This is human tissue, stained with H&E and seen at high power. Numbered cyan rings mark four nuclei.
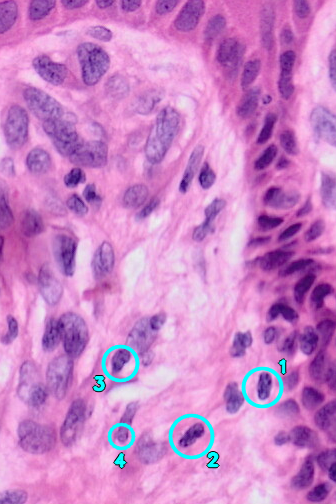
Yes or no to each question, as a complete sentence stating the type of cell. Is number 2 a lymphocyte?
Yes, within this section, cell number 2 is a lymphocyte.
